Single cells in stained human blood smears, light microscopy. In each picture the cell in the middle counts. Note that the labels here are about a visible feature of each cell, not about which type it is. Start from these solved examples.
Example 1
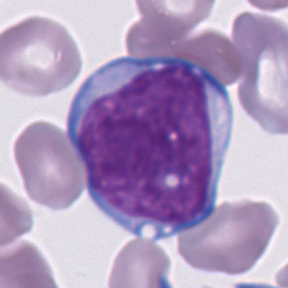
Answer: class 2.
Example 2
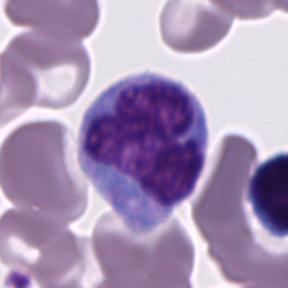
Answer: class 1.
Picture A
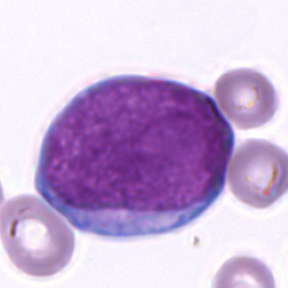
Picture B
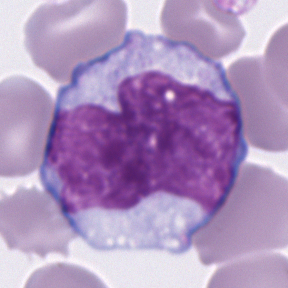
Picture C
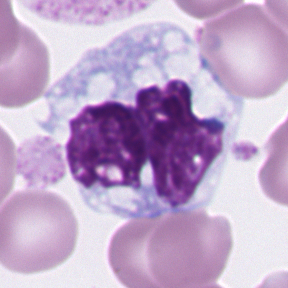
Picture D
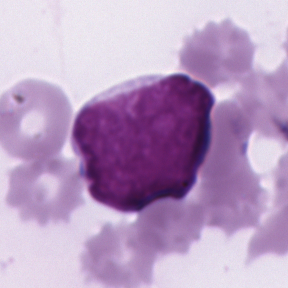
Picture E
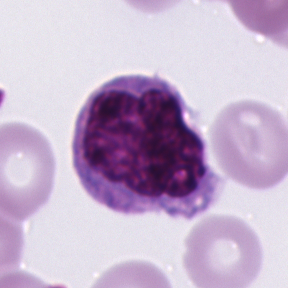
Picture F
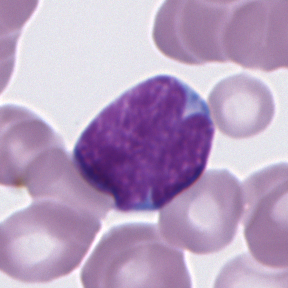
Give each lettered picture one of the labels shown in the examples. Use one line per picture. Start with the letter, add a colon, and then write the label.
A: class 1.
B: class 2.
C: class 2.
D: class 1.
E: class 1.
F: class 1.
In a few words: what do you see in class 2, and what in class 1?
class 2: vacuoles present; class 1: no vacuoles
